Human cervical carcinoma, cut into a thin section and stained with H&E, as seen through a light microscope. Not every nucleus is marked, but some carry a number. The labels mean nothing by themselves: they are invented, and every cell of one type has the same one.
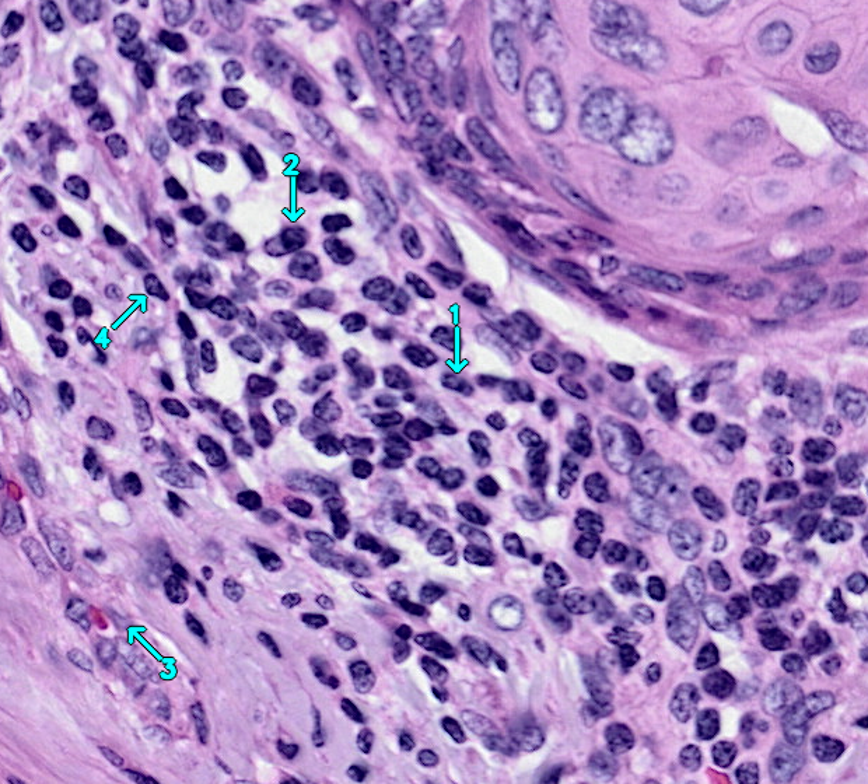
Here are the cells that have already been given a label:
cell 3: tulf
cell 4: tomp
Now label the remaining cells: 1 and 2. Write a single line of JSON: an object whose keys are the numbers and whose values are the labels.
{"1": "tomp", "2": "tomp"}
